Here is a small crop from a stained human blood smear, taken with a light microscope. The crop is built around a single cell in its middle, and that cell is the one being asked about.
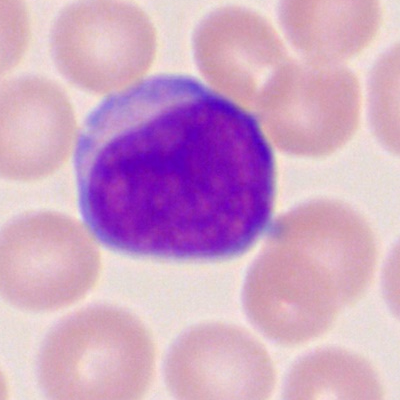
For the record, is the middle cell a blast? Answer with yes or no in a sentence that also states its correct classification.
Yes, this central cell is a blast.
